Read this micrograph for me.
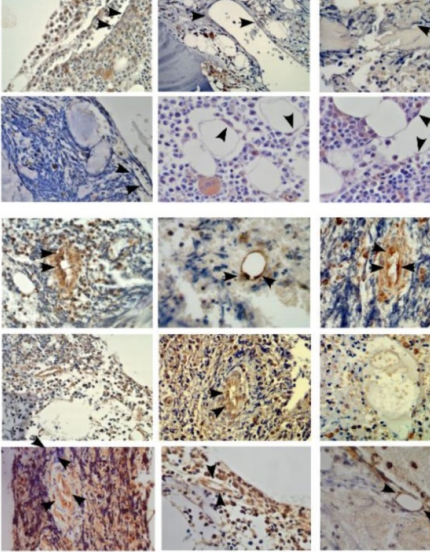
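In several images the cells around and along these vessels carry a brown stain, while in others the vessel lining is pale. Small fragments of bone appear as pale, smooth, cell-poor areas at the edges of some fields.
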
